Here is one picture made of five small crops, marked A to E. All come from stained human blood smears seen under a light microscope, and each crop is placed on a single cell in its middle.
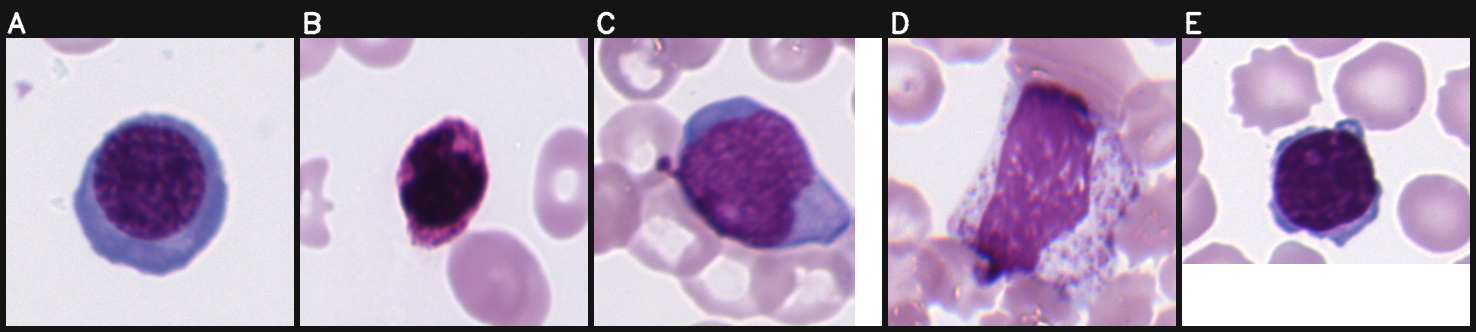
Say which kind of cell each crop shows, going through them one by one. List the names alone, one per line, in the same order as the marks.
normoblast
basophil
myeloblast
myelocyte
typical lymphocyte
